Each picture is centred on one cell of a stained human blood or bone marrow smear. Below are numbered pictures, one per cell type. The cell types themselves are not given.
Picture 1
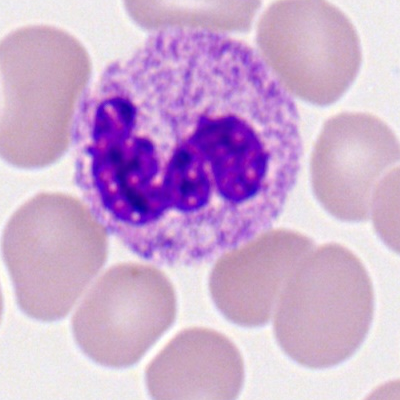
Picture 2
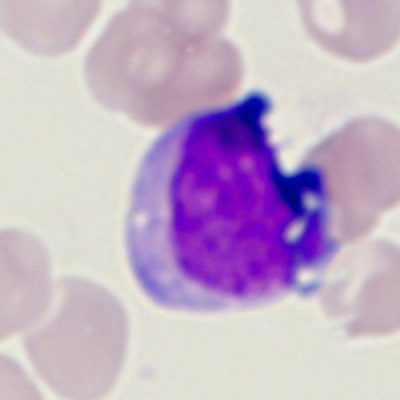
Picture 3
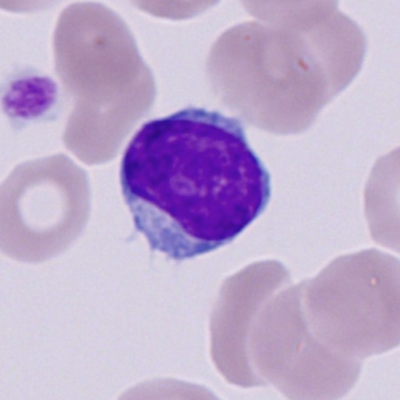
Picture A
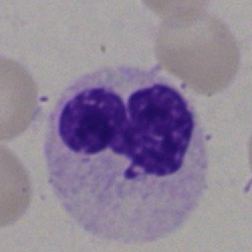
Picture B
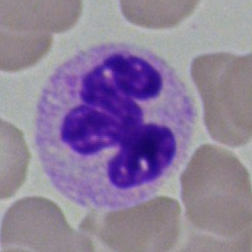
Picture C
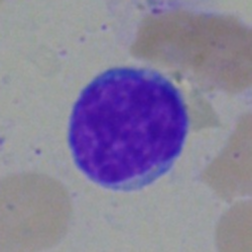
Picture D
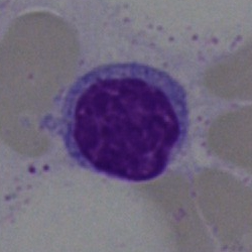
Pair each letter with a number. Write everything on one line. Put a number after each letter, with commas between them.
A 1, B 1, C 3, D 3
